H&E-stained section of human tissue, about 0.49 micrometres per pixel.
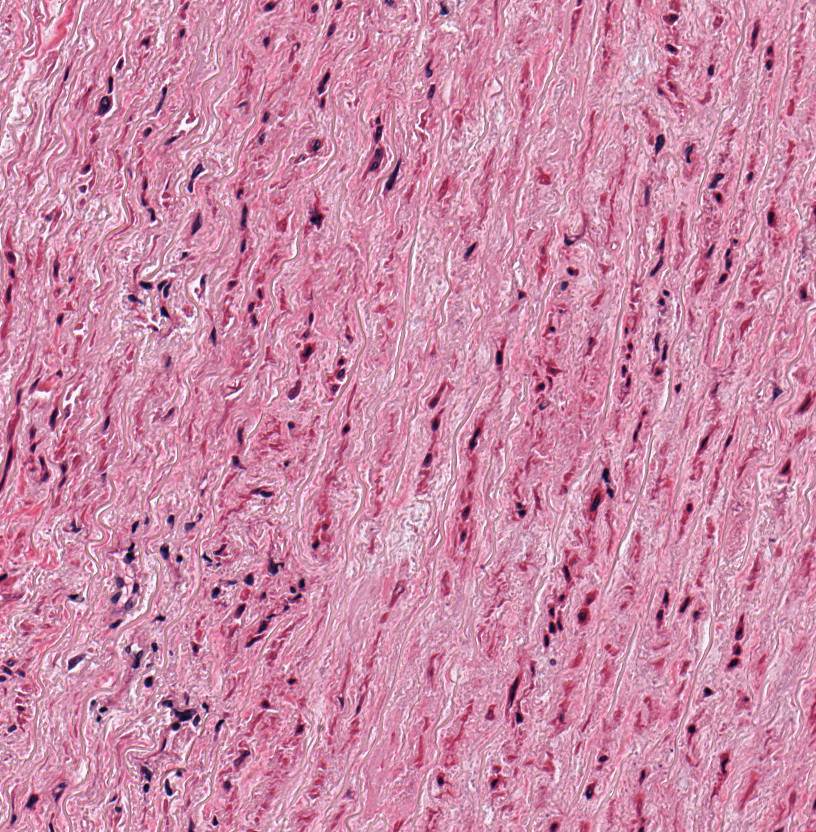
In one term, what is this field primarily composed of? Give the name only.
tunica media of an artery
